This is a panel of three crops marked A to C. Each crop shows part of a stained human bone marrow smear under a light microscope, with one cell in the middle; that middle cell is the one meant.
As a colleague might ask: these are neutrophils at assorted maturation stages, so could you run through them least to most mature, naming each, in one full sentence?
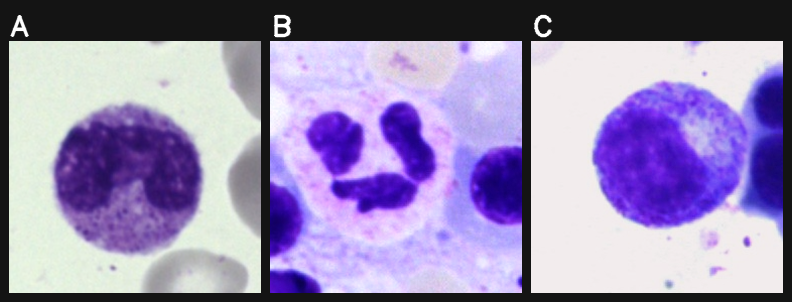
Arranged by increasing maturity, the crops are crop C (a myelocyte), crop A (a band neutrophil) and crop B (a segmented neutrophil).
